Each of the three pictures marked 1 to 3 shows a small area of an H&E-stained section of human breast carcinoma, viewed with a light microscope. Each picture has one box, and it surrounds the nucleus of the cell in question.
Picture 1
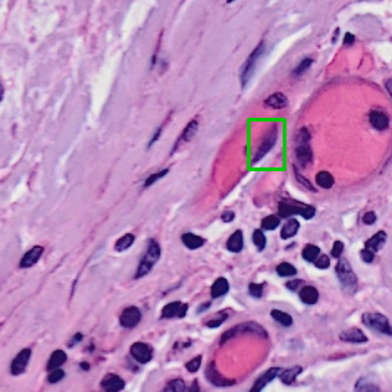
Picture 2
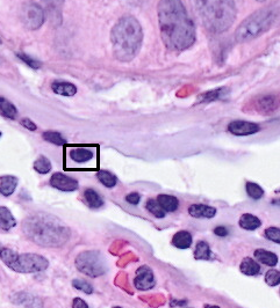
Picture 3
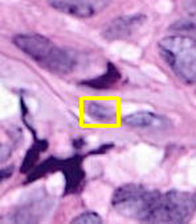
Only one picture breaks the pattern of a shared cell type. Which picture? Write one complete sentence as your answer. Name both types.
All pictures except 2 show endothelial cells; picture 2 shows a lymphocyte.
